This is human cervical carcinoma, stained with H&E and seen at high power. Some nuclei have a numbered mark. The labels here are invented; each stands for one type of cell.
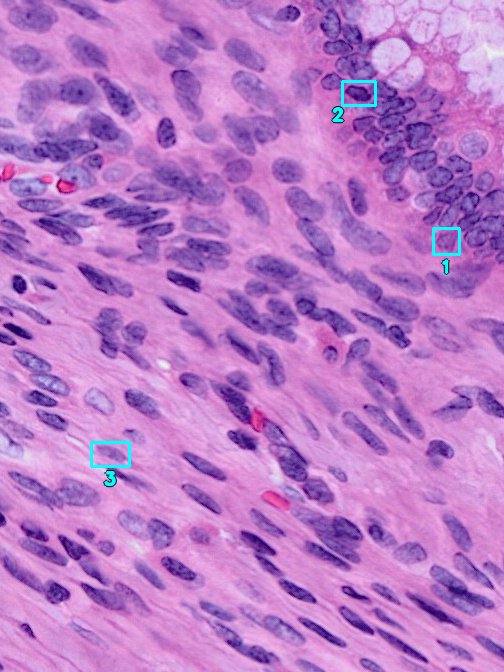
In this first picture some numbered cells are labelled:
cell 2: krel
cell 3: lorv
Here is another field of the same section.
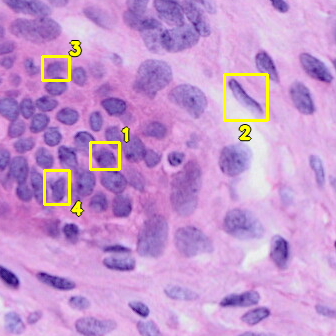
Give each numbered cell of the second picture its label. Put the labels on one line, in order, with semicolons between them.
krel; lorv; krel; krel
